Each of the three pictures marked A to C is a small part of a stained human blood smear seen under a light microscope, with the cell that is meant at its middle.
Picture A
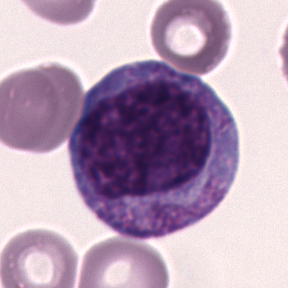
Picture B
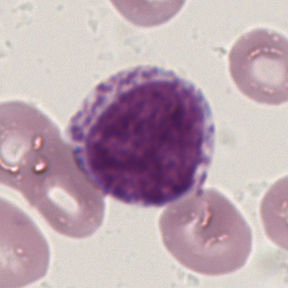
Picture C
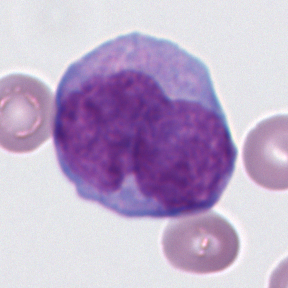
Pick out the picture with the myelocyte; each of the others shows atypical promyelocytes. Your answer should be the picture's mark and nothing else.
B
